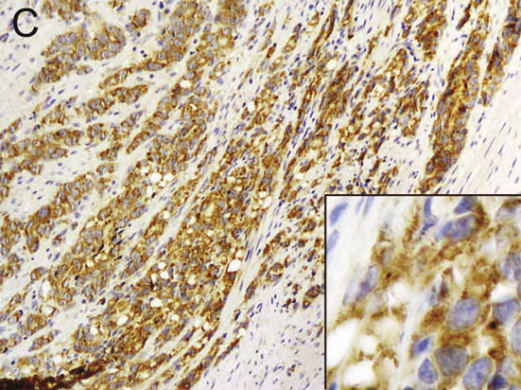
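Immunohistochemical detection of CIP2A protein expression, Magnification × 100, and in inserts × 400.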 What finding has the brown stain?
coarsely granular cytoplasmic positivity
